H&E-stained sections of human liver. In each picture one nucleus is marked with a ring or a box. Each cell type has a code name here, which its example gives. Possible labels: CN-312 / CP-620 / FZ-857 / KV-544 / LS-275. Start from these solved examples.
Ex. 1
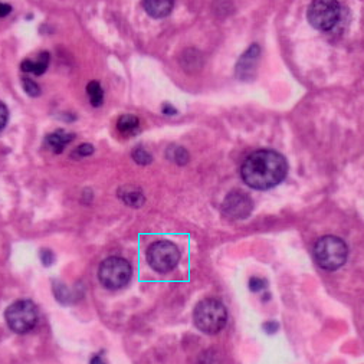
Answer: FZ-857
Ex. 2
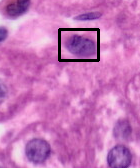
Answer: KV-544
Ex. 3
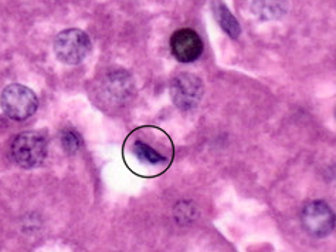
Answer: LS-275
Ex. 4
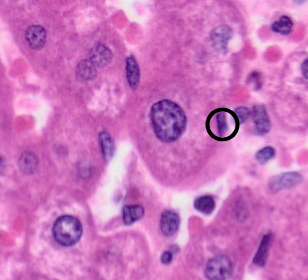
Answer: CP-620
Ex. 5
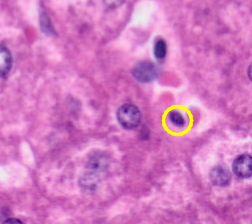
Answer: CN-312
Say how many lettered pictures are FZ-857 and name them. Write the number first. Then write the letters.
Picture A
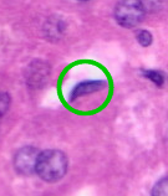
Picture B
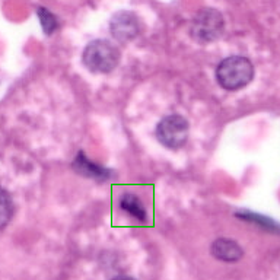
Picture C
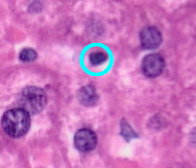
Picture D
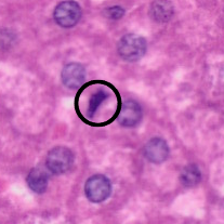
0, none of them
